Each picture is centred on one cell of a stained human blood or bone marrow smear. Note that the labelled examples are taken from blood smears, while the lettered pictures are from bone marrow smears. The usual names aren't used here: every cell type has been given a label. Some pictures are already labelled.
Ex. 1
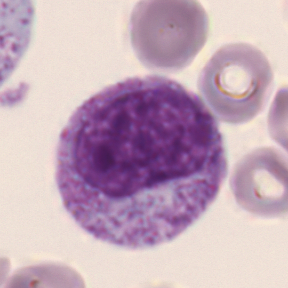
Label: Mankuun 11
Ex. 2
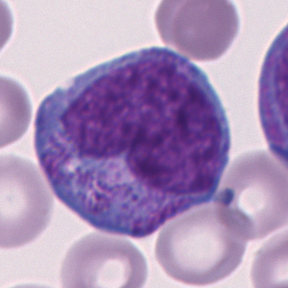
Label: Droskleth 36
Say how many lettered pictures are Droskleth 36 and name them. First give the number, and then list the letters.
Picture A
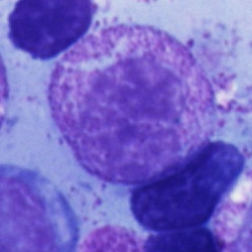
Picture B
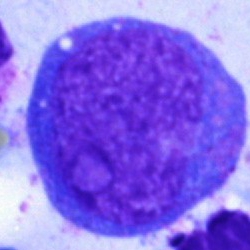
1: B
